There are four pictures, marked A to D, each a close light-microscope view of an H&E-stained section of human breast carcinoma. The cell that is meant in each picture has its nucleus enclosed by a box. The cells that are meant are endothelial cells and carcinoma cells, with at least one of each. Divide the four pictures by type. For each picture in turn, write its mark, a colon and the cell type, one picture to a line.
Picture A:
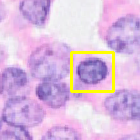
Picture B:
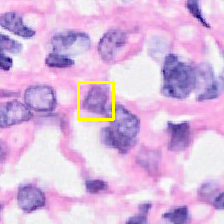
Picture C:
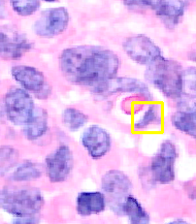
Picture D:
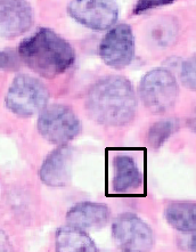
A: carcinoma cell
B: carcinoma cell
C: endothelial cell
D: carcinoma cell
